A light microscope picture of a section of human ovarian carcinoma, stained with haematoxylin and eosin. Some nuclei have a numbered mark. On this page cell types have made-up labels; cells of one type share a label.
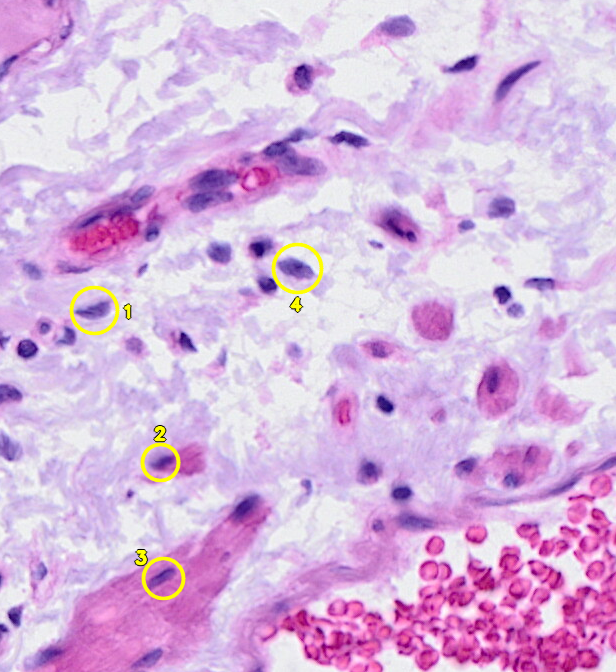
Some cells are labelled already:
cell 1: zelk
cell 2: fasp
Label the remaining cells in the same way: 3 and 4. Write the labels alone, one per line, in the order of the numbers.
fasp
zelk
